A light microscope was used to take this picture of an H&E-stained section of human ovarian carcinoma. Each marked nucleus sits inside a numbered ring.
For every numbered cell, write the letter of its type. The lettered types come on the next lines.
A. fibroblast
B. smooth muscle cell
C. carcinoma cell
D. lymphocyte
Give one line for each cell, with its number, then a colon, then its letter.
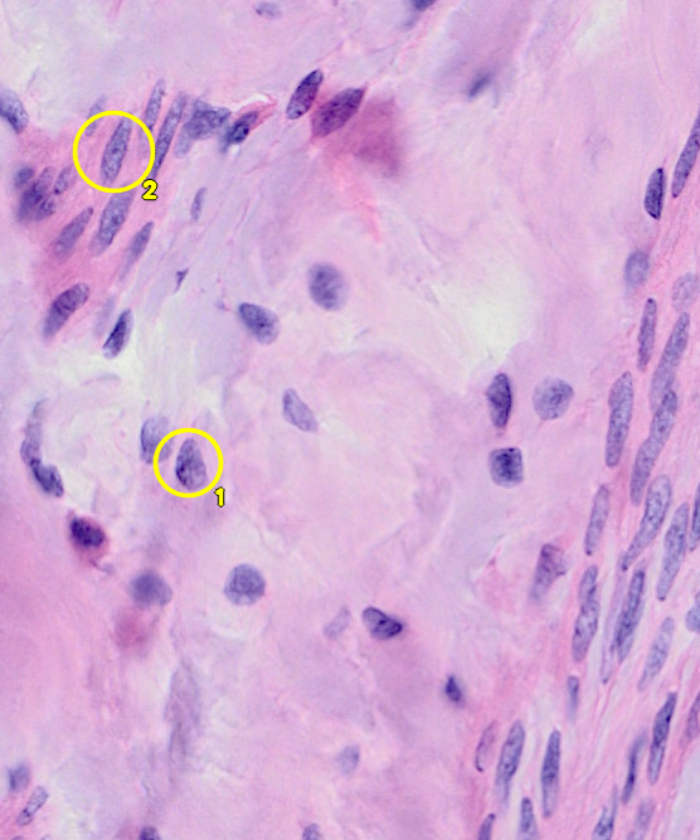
1: A
2: B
